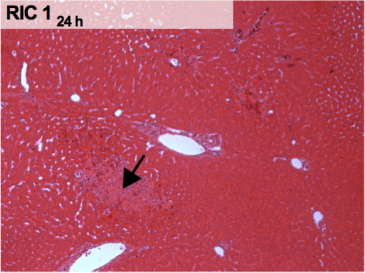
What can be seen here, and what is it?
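Liver tissue at low magnification, with red-stained hepatocytes forming a largely uniform parenchyma traversed by narrow sinusoidal spaces. Several white vessel lumens of different sizes lie scattered through the field, some near small collections of darker material. Apart from this focus and a few small darker spots, the parenchyma appears intact, without a broad zone of damage.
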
